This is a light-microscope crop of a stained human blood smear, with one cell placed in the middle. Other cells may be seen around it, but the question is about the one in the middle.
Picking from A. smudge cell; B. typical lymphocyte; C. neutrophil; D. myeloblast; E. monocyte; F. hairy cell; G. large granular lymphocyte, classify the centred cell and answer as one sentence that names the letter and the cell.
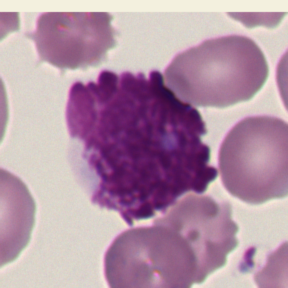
Option A gives the correct identity of the central cell, namely a smudge cell.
